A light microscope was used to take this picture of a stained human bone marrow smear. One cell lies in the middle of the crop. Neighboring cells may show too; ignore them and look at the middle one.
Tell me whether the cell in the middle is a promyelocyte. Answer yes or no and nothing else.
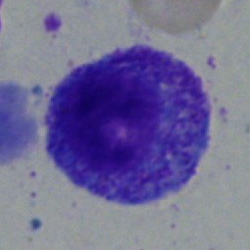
yes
